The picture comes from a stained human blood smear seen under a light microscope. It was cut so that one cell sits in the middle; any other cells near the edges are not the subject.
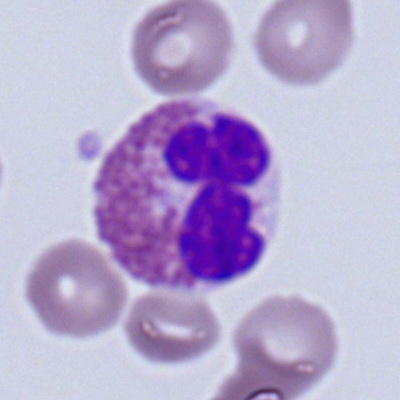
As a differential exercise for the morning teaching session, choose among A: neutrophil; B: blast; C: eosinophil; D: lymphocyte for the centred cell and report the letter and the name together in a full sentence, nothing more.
The middle of the crop holds an eosinophil, which points to option C.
